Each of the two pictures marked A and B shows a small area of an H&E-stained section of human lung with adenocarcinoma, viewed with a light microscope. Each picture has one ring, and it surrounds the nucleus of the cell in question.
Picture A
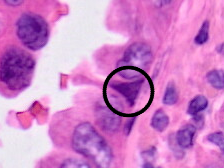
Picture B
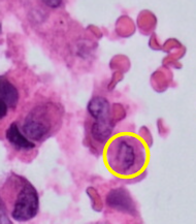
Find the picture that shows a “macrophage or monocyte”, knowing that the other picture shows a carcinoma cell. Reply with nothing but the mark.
B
